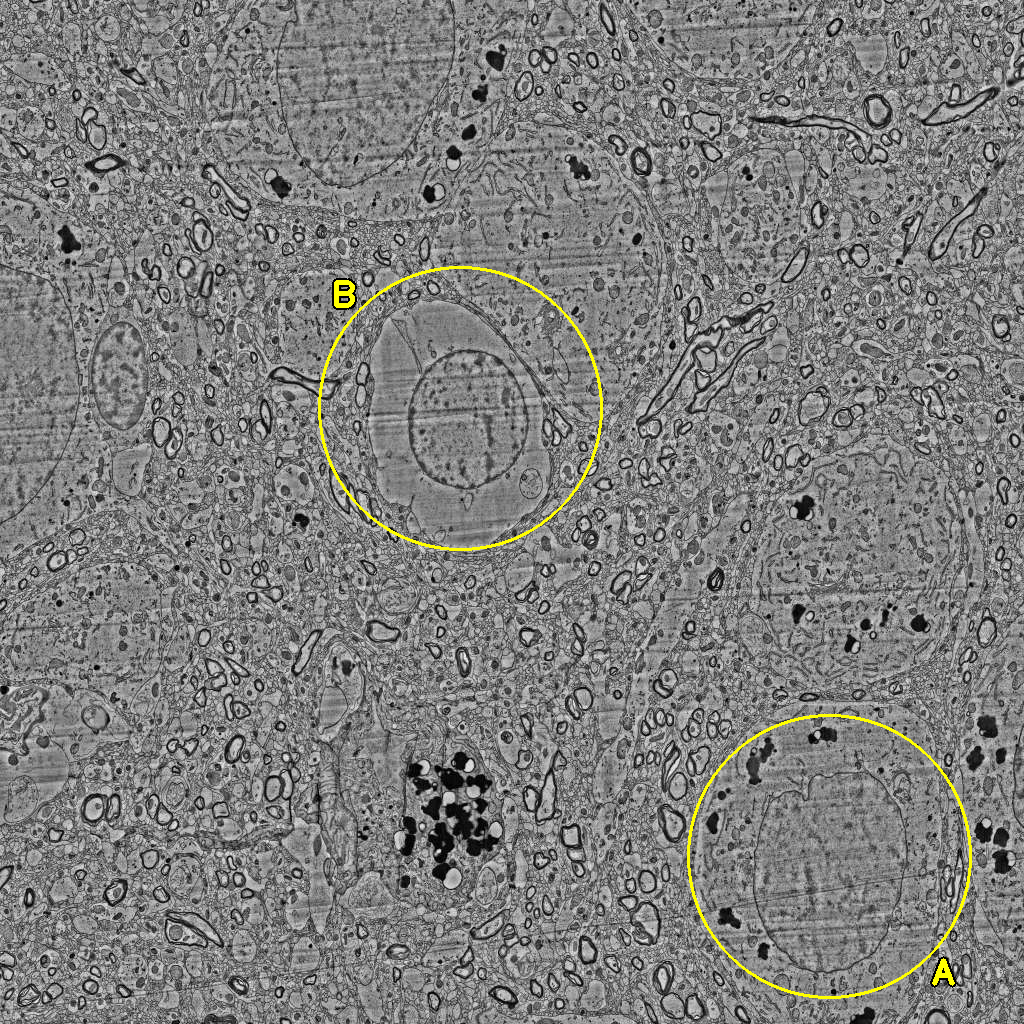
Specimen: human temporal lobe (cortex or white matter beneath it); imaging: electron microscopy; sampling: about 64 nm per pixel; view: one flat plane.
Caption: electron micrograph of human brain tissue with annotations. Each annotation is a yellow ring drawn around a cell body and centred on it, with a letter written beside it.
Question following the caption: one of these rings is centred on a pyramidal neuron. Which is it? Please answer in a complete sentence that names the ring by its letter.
The ring with the letter A is centred on it.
